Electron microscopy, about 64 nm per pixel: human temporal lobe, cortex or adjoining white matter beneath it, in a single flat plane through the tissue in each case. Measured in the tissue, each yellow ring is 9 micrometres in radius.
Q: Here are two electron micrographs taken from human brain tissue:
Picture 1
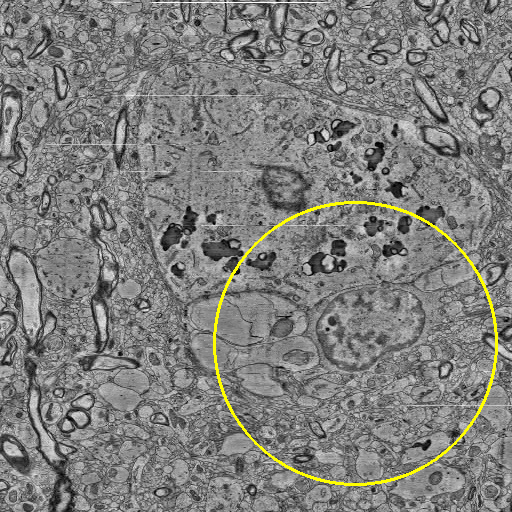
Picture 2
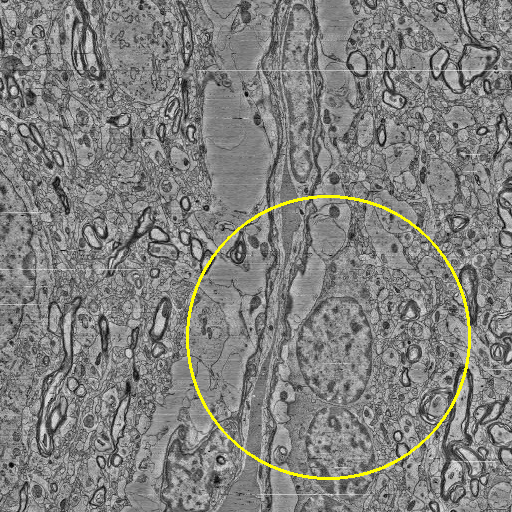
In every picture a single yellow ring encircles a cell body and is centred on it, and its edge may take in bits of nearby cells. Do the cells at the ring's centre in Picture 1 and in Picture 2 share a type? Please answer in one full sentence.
Yes, the cells at the ring's centre in Picture 1 and Picture 2 share a type.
